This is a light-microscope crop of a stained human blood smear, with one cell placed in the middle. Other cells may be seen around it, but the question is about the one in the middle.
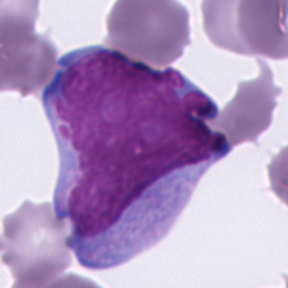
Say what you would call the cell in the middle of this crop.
myeloblast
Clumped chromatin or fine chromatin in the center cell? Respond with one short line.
The chromatin pattern is fine and free of coarse clumps.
